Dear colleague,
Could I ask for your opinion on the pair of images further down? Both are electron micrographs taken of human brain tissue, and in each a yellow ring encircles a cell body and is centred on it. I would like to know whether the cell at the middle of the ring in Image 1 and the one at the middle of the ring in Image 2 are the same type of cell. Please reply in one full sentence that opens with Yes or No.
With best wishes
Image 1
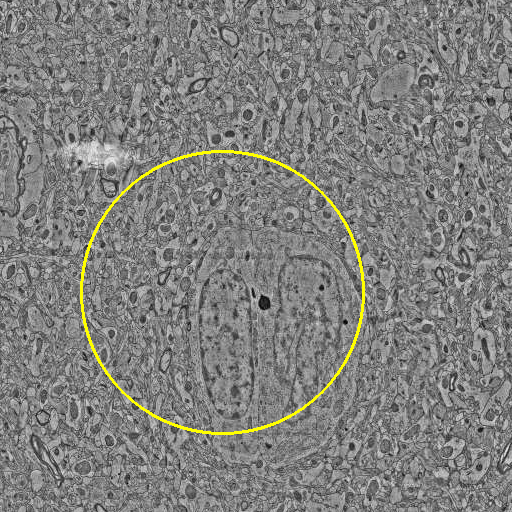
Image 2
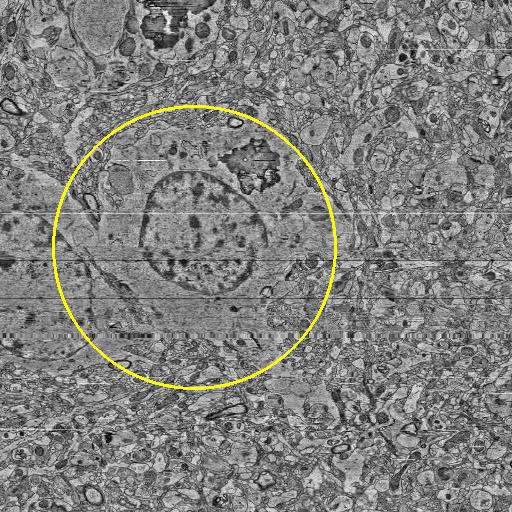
No, the cells at the ring centres in Image 1 and Image 2 are of two types.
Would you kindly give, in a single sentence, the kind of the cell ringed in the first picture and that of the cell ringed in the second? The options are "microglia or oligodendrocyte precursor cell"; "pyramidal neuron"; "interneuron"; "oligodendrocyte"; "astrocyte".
The second cell is an astrocyte, and the first cell is a microglial cell or oligodendrocyte precursor cell.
